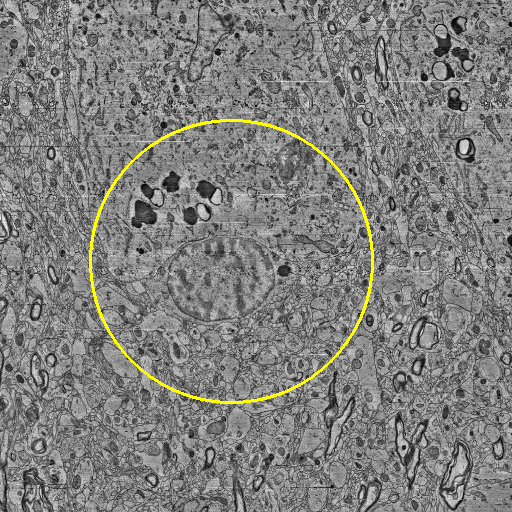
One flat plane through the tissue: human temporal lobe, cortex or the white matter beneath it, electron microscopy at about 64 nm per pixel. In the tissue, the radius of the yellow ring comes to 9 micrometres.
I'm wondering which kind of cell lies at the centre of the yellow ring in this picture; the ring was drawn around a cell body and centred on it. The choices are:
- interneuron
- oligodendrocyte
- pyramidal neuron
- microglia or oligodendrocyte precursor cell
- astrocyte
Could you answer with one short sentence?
At the centre of the ring lies an oligodendrocyte.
